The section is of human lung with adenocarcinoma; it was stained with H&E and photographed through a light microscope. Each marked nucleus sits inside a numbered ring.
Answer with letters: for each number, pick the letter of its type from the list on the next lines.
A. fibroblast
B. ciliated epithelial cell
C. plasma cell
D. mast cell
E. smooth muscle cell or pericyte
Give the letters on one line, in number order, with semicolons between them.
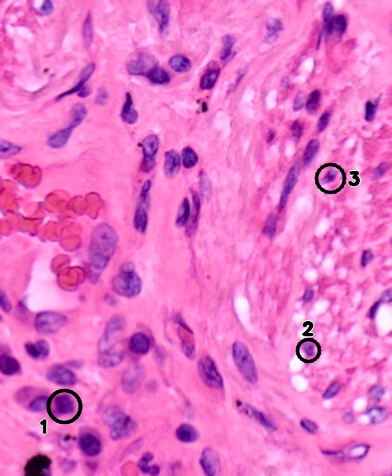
C; E; E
